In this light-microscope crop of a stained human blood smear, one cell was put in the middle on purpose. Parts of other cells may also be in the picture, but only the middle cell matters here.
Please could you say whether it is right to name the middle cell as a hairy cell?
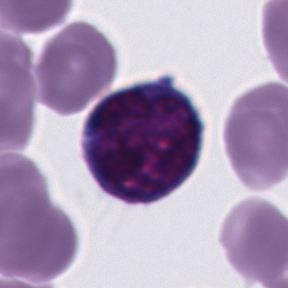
no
